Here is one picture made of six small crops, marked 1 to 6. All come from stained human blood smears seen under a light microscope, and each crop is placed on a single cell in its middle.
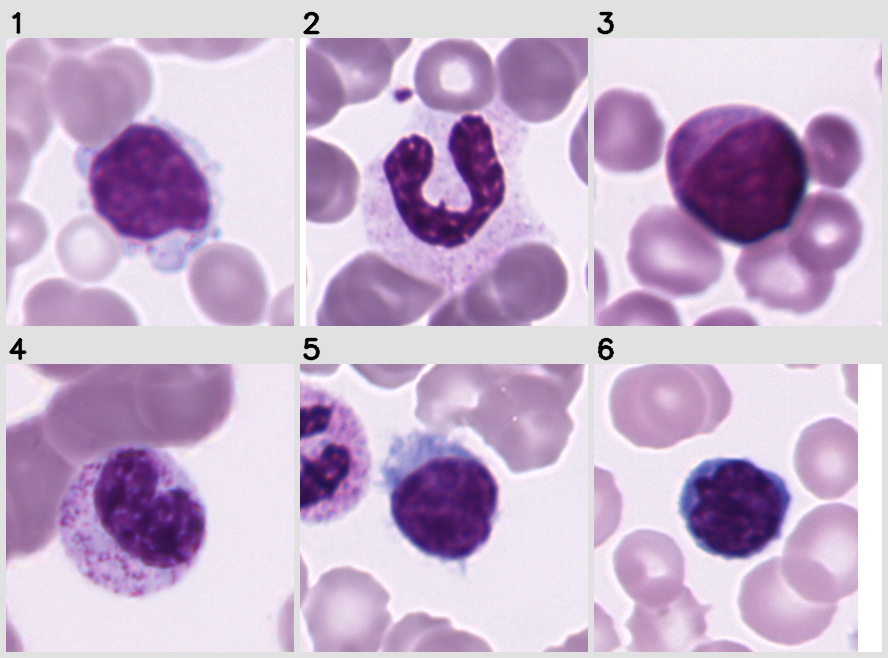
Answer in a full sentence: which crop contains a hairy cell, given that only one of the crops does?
Among the crops, only crop 5 contains a hairy cell.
